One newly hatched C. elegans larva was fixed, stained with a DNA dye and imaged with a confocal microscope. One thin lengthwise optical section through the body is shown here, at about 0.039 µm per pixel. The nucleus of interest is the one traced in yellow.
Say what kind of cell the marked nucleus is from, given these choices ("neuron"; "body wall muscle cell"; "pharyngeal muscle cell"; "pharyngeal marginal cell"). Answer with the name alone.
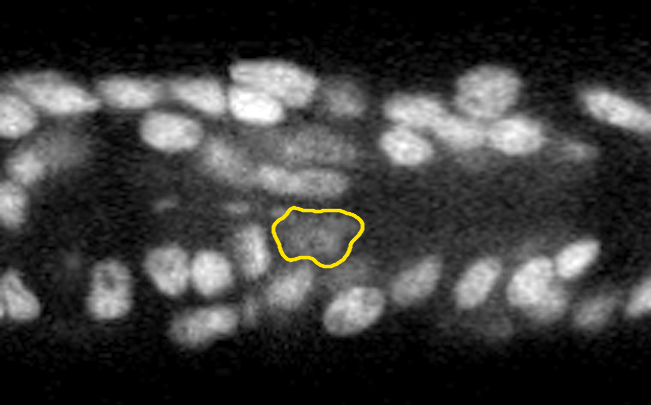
pharyngeal marginal cell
